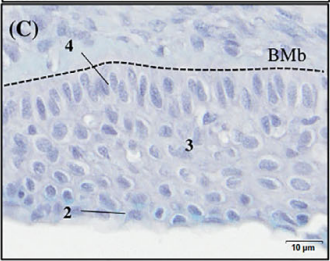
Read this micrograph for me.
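Cells of the basal layer are columnar, with elongated nuclei standing perpendicular to the basement membrane. In the middle layers the cells are polygonal, with oval to rounded nuclei lying in varied directions.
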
